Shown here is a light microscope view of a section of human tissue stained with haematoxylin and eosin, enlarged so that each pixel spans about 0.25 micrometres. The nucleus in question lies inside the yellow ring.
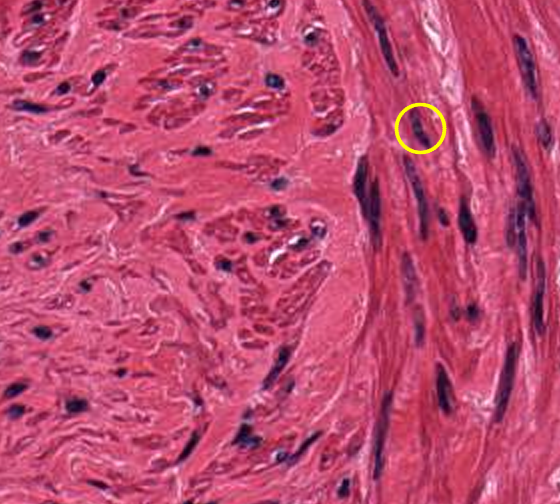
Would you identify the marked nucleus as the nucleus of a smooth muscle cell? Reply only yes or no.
yes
